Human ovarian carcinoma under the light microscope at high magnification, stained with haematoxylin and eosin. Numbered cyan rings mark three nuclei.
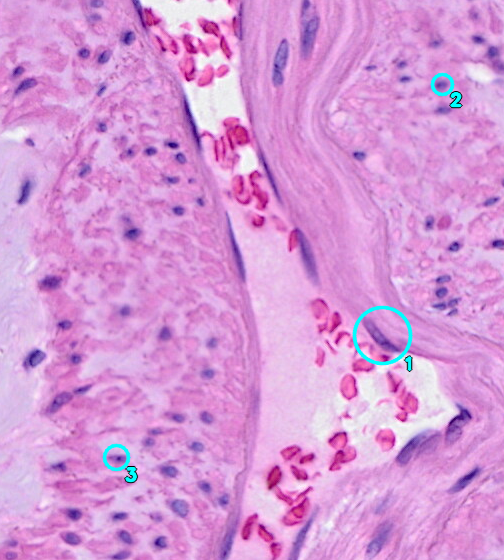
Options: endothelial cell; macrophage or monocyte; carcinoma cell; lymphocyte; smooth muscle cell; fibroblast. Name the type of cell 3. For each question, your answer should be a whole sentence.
The numeral 3 marks a smooth muscle cell in this section.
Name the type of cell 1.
The cell identified by the number 1 is an endothelial cell.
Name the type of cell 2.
The nucleus labeled 2 belongs to a smooth muscle cell.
